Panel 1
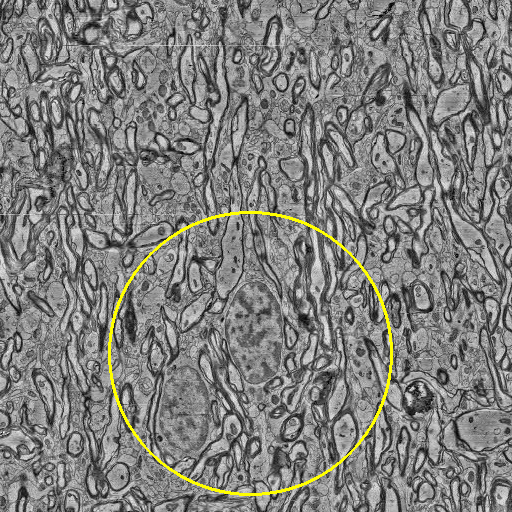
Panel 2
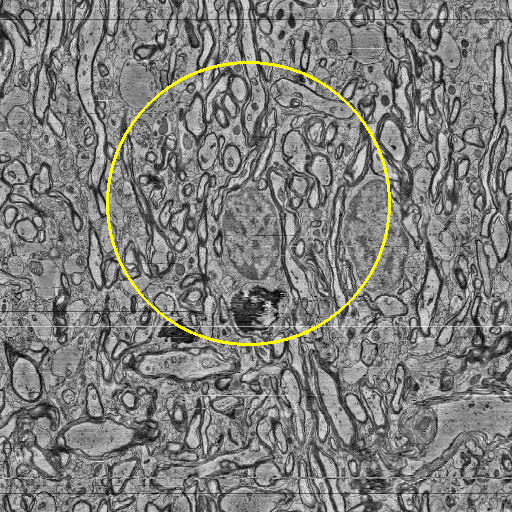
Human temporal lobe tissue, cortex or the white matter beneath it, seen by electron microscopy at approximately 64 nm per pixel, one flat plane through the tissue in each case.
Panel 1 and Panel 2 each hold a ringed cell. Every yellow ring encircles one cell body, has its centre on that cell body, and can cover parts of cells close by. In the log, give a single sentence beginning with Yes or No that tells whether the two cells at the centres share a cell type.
No, in Panel 1 and Panel 2 the centred cells are of two cell types.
